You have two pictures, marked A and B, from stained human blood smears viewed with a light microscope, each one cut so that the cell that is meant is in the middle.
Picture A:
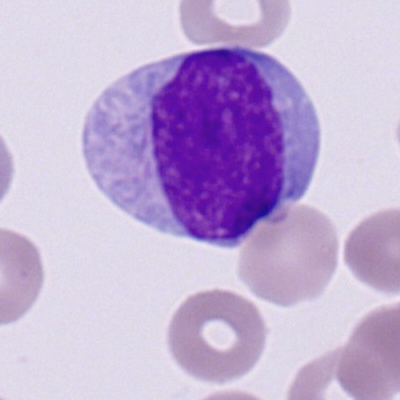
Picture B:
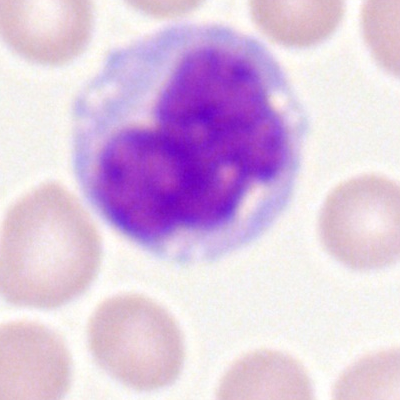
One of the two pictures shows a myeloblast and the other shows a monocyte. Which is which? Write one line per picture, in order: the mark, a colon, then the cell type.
A: myeloblast
B: monocyte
